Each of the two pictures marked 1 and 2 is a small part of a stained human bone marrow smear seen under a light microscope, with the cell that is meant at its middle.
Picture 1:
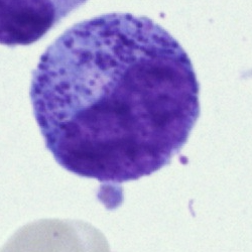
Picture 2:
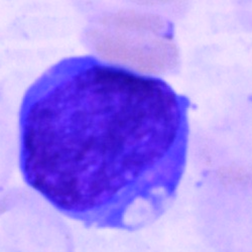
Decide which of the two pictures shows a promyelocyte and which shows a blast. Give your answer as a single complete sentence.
Picture 2 shows a blast, while picture 1 shows a promyelocyte.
